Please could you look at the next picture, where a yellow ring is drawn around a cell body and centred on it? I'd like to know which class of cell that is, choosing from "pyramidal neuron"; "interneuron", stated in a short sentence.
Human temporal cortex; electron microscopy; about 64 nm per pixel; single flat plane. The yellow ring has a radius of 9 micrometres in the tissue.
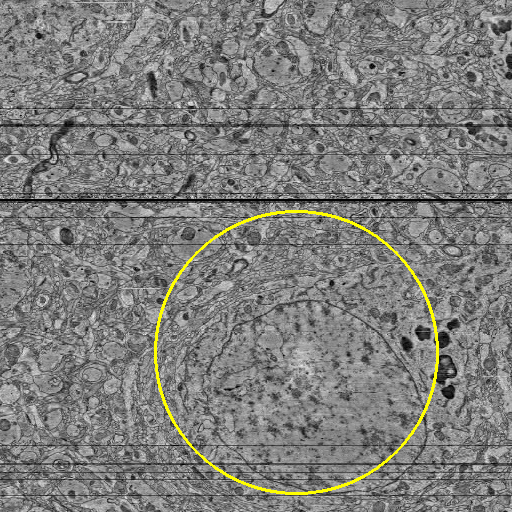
The ring's centre lies on a pyramidal neuron.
